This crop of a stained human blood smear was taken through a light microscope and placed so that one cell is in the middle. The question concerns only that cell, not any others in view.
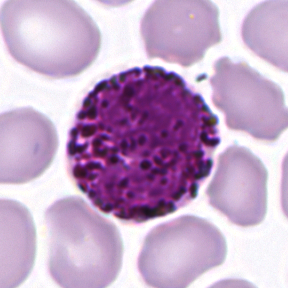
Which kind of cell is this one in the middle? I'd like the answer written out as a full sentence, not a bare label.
The central cell in this smear crop is a basophil.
